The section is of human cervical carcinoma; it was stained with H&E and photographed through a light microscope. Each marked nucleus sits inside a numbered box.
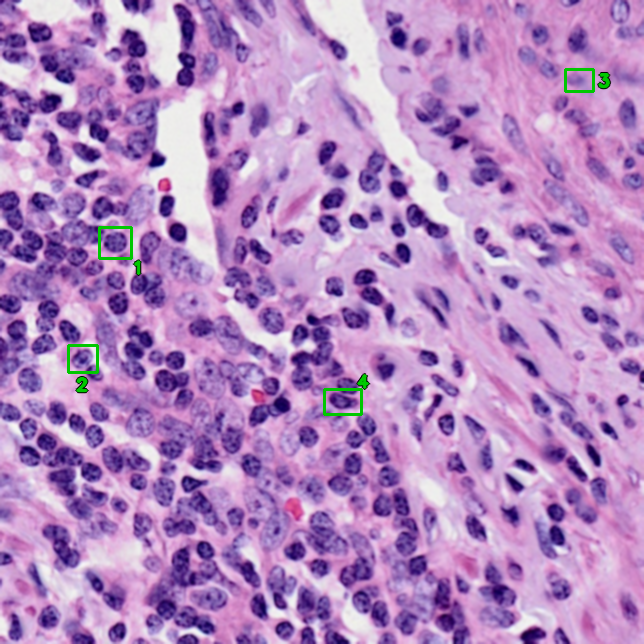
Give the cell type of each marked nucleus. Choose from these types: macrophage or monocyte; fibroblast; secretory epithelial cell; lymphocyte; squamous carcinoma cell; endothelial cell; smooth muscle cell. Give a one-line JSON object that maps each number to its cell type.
{"1": "lymphocyte", "2": "lymphocyte", "3": "smooth muscle cell", "4": "lymphocyte"}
